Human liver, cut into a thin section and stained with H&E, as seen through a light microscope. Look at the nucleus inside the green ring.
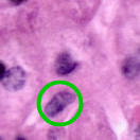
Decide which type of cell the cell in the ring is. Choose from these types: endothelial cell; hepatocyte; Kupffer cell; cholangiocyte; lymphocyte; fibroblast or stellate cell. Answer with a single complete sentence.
Recorded by type, the cell in the ring is a Kupffer cell.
